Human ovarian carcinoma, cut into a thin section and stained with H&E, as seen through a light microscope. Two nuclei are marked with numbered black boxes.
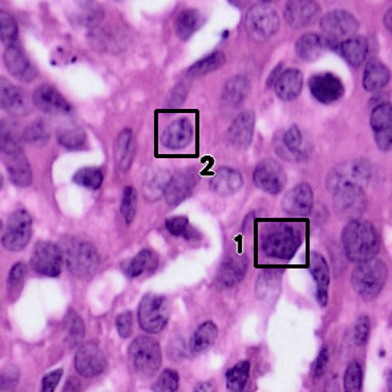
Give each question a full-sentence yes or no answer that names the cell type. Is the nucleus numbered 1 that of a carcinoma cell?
Yes, the cell marked by the number 1 is a carcinoma cell.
